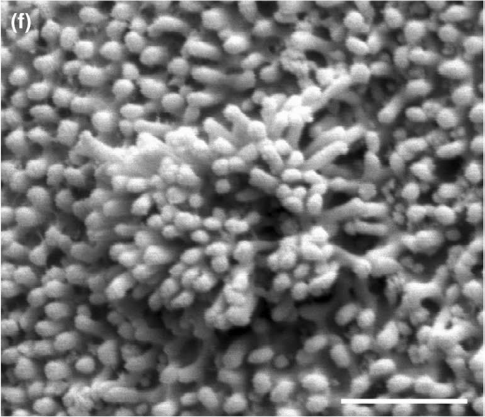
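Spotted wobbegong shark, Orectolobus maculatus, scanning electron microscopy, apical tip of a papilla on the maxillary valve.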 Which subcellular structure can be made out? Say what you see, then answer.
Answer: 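A central tuft of elongated finger-like projections. Shorter knob-like projections cover the surrounding surface. So: a clump of long microvilli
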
